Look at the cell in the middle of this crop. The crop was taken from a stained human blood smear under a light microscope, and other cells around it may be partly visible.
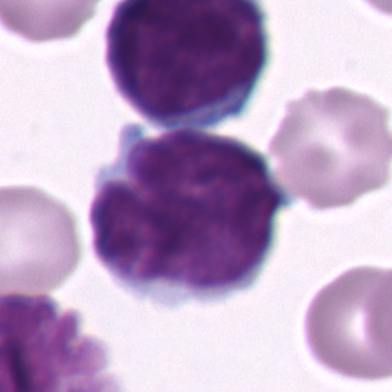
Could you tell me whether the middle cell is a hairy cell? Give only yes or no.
no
